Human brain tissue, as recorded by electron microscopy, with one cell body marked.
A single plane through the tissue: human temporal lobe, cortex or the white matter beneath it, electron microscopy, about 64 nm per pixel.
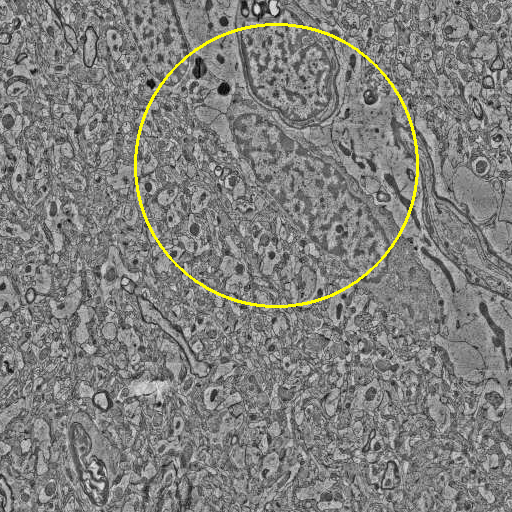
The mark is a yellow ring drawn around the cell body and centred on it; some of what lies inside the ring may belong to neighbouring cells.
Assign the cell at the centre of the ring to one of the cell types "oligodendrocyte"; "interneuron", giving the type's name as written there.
oligodendrocyte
